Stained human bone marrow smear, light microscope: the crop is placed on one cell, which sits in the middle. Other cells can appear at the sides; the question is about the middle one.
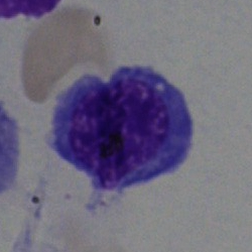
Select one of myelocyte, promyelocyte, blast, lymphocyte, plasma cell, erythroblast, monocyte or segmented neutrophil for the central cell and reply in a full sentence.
The cell centered in this field of view is an erythroblast.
